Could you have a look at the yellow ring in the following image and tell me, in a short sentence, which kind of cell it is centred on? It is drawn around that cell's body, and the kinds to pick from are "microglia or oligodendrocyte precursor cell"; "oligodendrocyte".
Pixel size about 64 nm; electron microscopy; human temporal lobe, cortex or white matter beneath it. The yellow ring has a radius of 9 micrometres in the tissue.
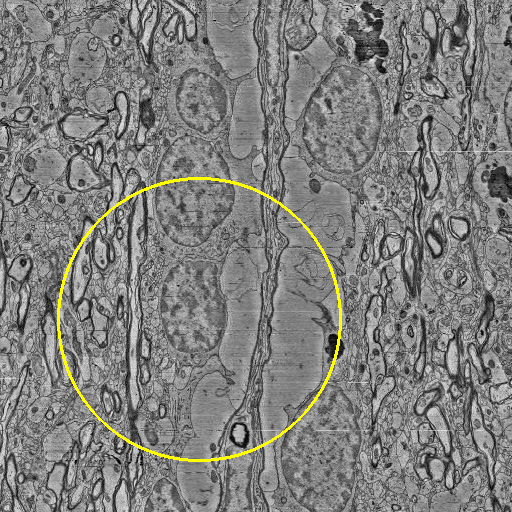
The ring is centred on the body of an oligodendrocyte.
